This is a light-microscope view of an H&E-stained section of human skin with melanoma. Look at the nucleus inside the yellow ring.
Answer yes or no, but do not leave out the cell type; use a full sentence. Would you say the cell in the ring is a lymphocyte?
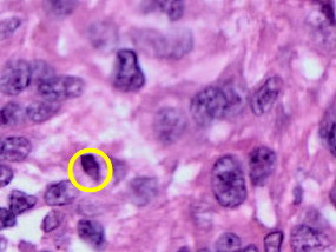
No, a lymphocyte is not what the cell in the ring is; it is a melanoma cell.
